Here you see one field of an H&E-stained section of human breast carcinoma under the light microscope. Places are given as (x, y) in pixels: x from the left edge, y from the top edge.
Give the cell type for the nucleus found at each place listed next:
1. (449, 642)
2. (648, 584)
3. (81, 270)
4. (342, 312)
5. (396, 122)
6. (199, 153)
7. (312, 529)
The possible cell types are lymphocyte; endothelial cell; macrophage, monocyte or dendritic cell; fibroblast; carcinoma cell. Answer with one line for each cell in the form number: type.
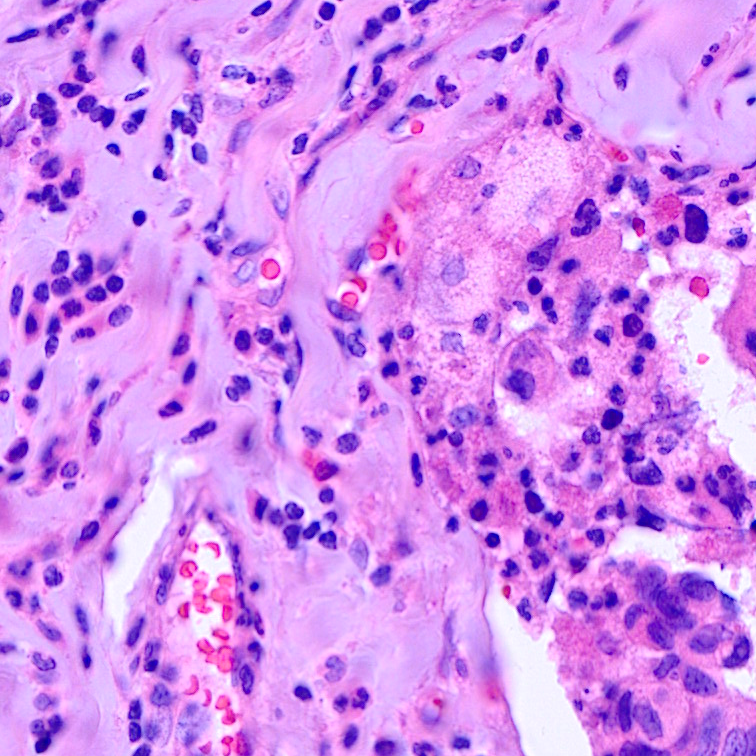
1: fibroblast
2: carcinoma cell
3: lymphocyte
4: endothelial cell
5: endothelial cell
6: lymphocyte
7: lymphocyte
